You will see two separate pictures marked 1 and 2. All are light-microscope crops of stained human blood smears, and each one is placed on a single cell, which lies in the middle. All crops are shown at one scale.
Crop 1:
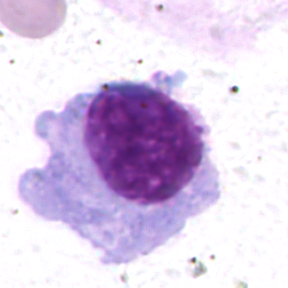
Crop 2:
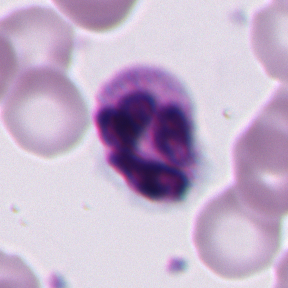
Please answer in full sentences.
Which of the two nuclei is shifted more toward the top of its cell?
It is the nucleus in crop 1 that lies further toward the top of its cell.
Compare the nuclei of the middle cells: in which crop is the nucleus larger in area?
Larger is the nucleus in crop 1, at roughly 1.5 times the area of the other.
